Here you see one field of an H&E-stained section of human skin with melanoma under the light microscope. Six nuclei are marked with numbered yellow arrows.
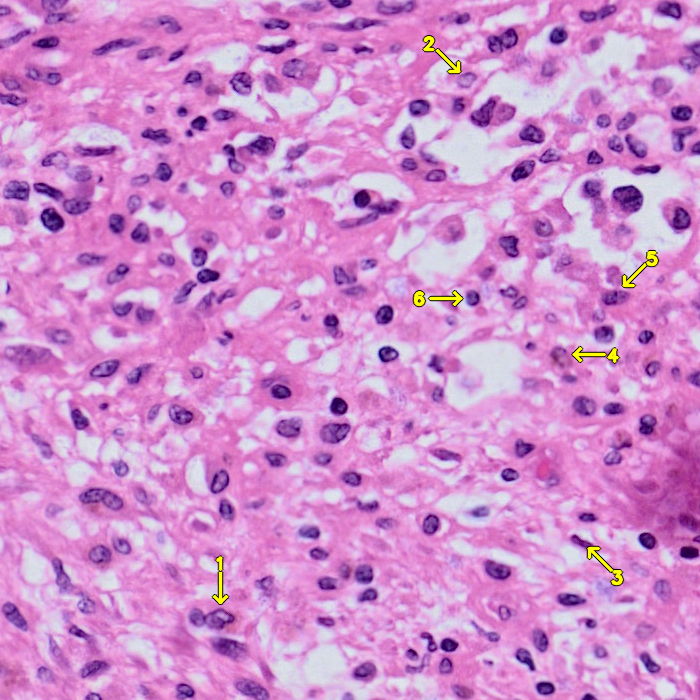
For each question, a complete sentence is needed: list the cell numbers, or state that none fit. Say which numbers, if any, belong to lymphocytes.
Response: cell 6 is a lymphocyte, and no other numbered cell is.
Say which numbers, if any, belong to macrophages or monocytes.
When it comes to cells 1, 2, 4 and 5, they are macrophages or monocytes.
